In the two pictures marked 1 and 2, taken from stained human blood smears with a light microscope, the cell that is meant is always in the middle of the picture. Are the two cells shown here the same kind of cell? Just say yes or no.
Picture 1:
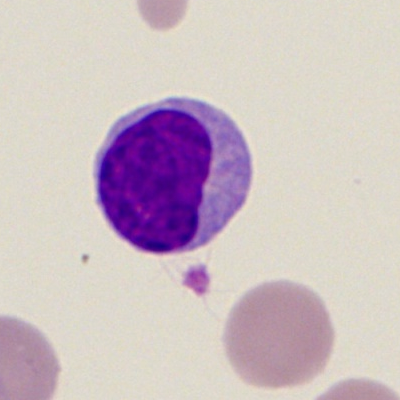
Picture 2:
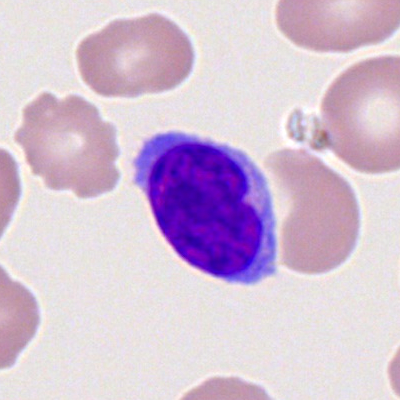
yes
